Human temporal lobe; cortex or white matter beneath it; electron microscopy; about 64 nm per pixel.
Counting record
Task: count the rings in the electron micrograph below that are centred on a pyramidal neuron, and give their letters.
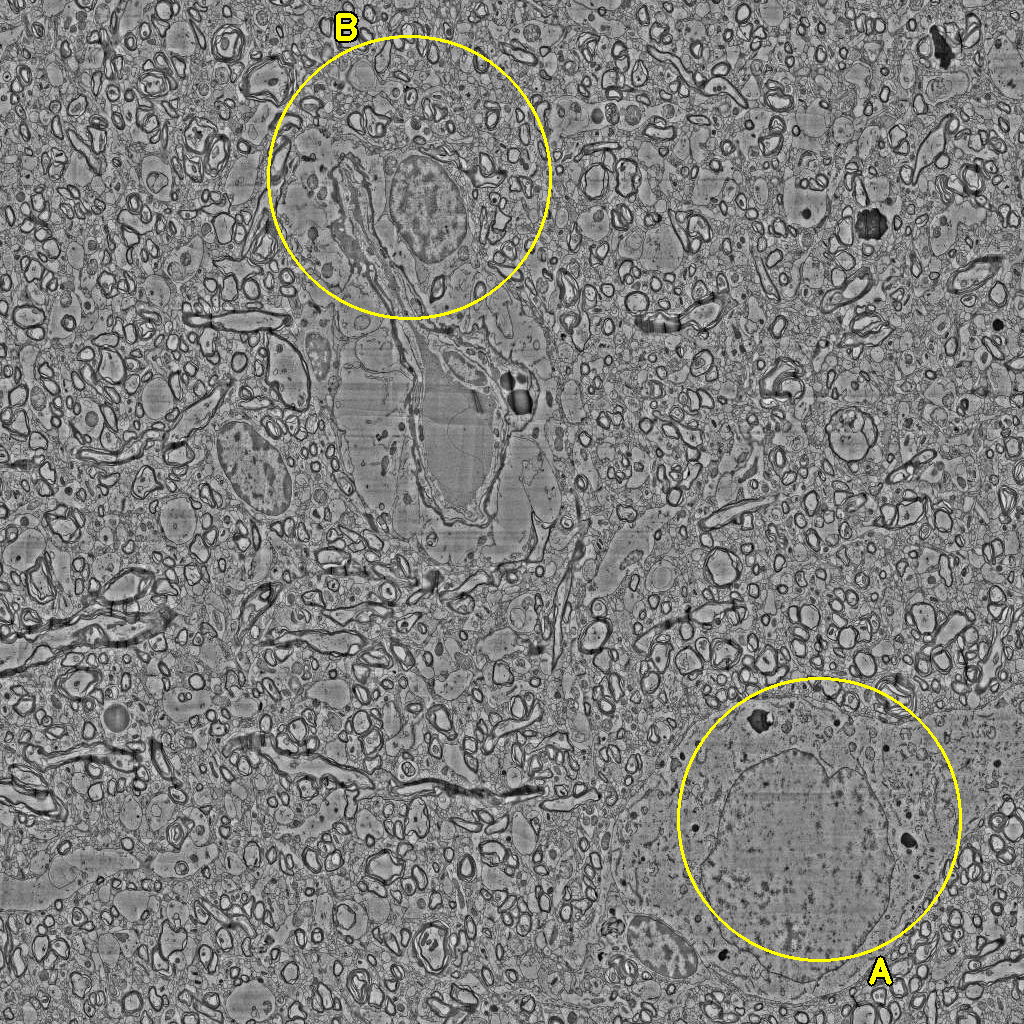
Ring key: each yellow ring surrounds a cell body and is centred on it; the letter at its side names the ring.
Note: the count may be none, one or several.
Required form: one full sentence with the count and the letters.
Just one yellow ring in the micrograph centres on a pyramidal neuron, and it is labelled A.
